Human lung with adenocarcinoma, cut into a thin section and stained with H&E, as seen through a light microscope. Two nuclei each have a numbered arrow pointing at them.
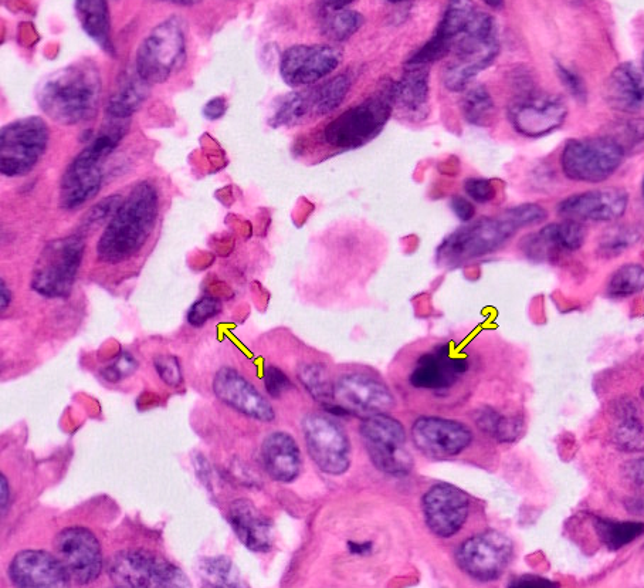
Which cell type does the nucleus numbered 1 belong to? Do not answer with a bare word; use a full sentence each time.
The cell given label 1 is a macrophage or monocyte.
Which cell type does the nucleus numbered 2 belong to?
The cell whose nucleus carries the number 2 is a carcinoma cell.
